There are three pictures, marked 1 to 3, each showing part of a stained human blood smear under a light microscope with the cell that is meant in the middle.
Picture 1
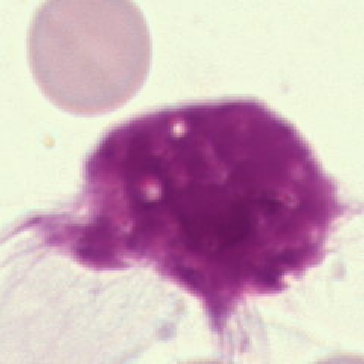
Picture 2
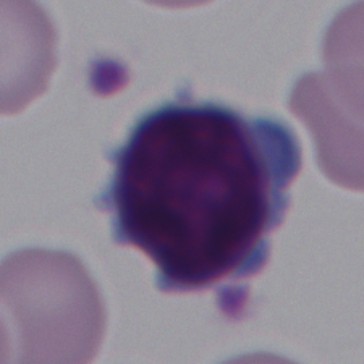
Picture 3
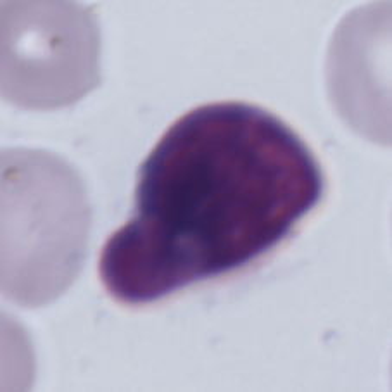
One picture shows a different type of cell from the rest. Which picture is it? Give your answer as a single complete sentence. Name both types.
Picture 2 differs, because its cell is a typical lymphocyte and the rest are smudge cells.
